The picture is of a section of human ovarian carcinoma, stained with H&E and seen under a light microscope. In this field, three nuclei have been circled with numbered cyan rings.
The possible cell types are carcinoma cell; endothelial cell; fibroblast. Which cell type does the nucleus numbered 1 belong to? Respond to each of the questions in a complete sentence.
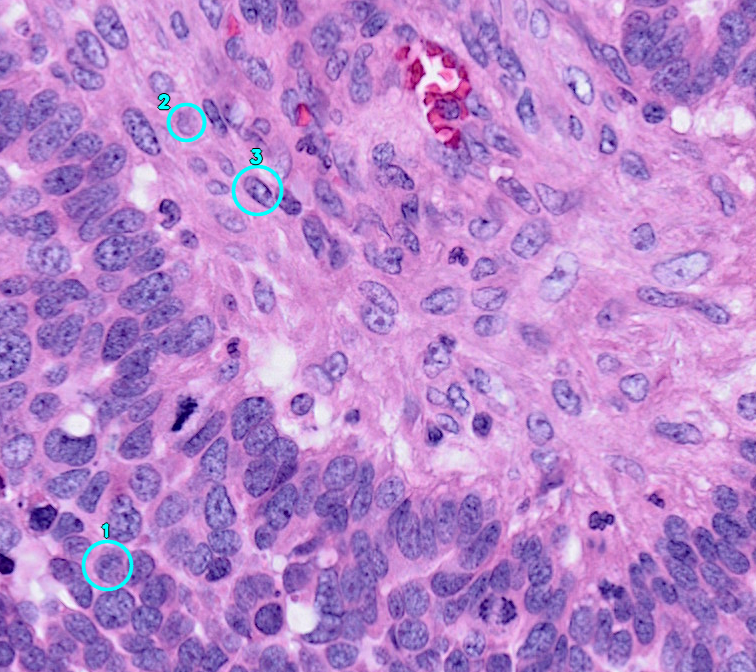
In this section, the cell numbered 1 is a carcinoma cell.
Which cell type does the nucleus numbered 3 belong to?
Recognised here as a fibroblast is the cell numbered 3.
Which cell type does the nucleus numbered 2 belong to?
Cell 2 in the field is a fibroblast.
